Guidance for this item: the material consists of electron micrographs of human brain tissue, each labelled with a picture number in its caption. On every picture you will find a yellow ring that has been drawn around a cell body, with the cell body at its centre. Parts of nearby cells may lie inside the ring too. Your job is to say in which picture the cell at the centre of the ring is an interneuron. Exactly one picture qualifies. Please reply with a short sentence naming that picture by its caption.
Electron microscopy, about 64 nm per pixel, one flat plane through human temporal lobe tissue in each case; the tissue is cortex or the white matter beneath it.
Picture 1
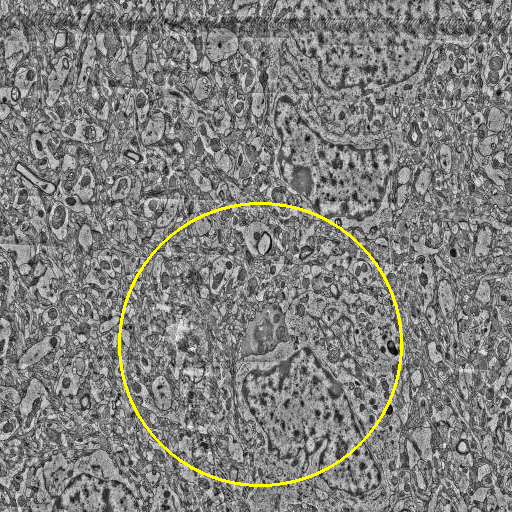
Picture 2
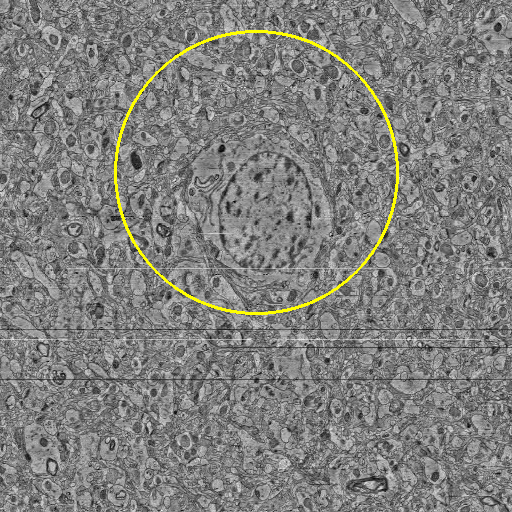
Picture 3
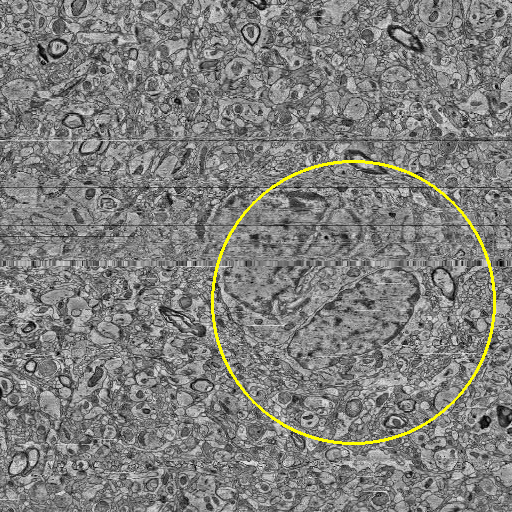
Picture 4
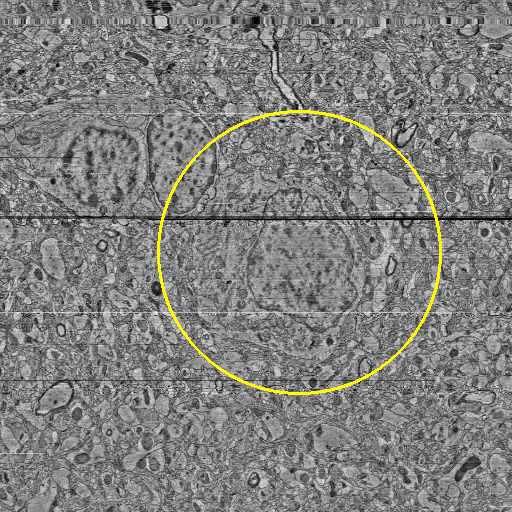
Picture 4 shows it at the centre of the ring.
